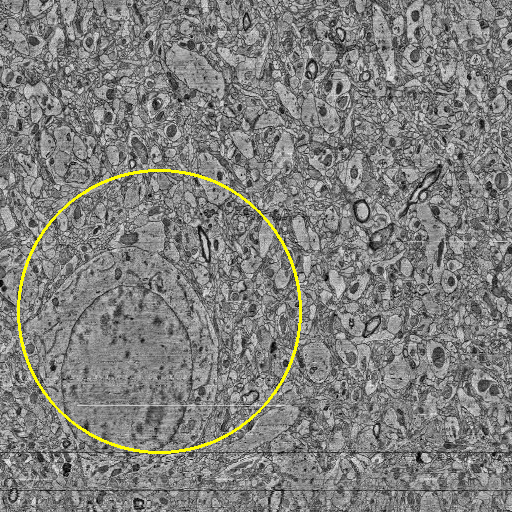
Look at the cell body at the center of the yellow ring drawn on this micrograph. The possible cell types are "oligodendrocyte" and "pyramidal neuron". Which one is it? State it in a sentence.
The cell in the middle of the ring is a pyramidal neuron.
